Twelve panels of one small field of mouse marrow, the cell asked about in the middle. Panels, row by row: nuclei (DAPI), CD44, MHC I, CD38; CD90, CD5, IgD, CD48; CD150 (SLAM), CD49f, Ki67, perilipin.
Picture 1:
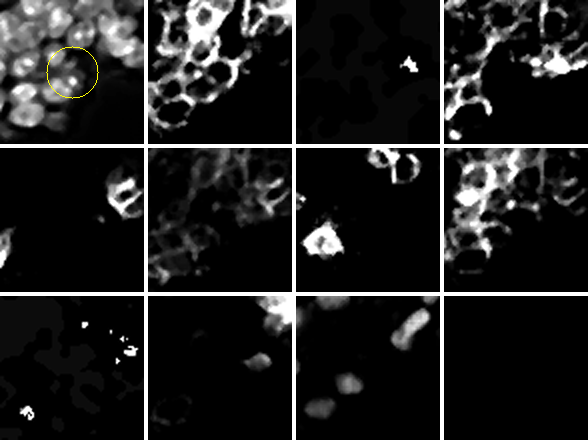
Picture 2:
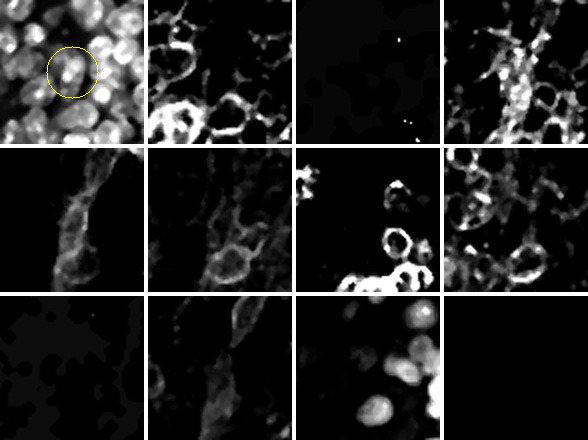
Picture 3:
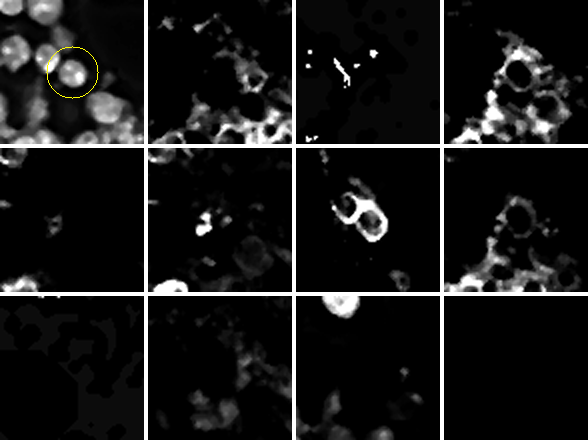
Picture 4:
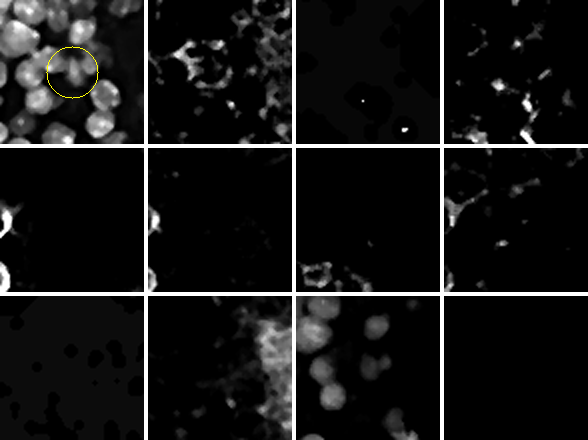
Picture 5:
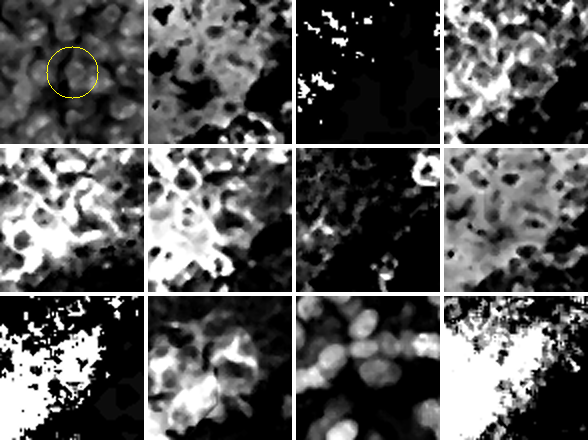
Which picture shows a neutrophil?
Picture 1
